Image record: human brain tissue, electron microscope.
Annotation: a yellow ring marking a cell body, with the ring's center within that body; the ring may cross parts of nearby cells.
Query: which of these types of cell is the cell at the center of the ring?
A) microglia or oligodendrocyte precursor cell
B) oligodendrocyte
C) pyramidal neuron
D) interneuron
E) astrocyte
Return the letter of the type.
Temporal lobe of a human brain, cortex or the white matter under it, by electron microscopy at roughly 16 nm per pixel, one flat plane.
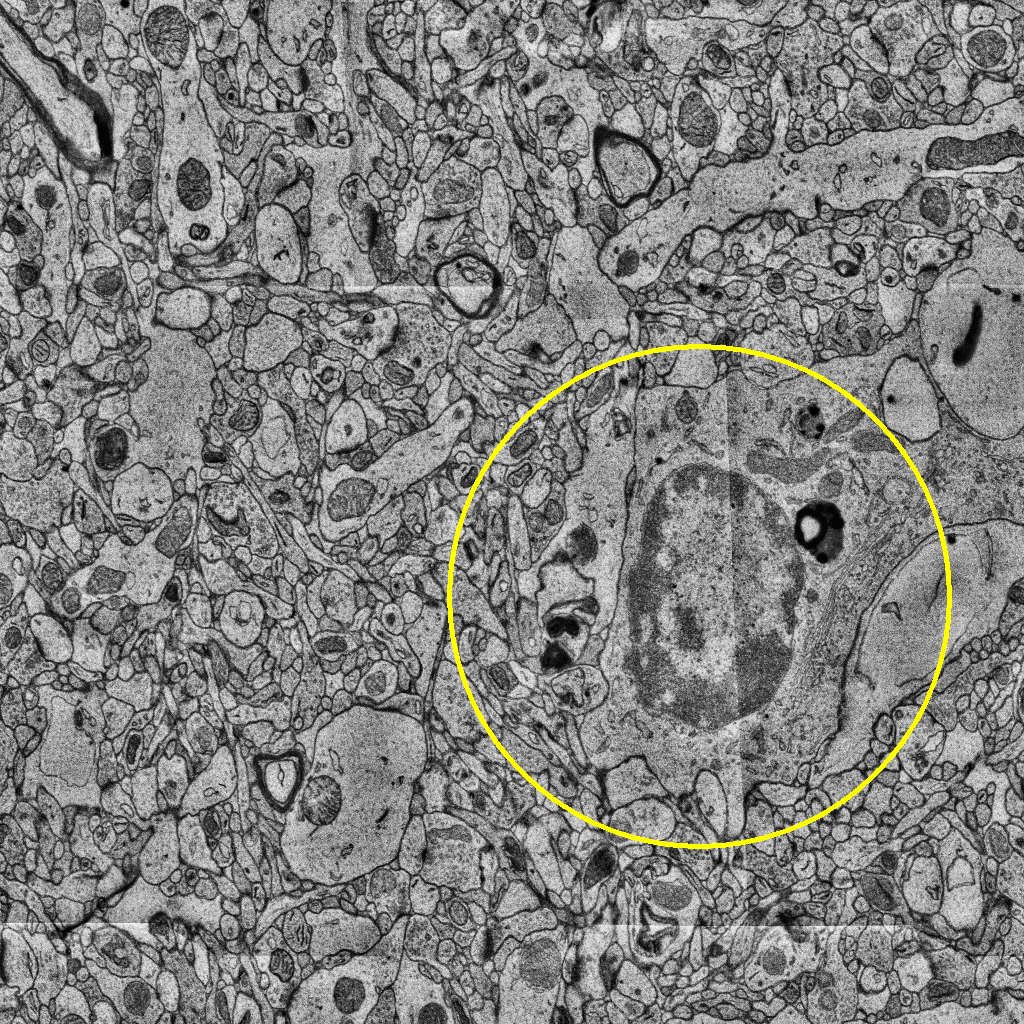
A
